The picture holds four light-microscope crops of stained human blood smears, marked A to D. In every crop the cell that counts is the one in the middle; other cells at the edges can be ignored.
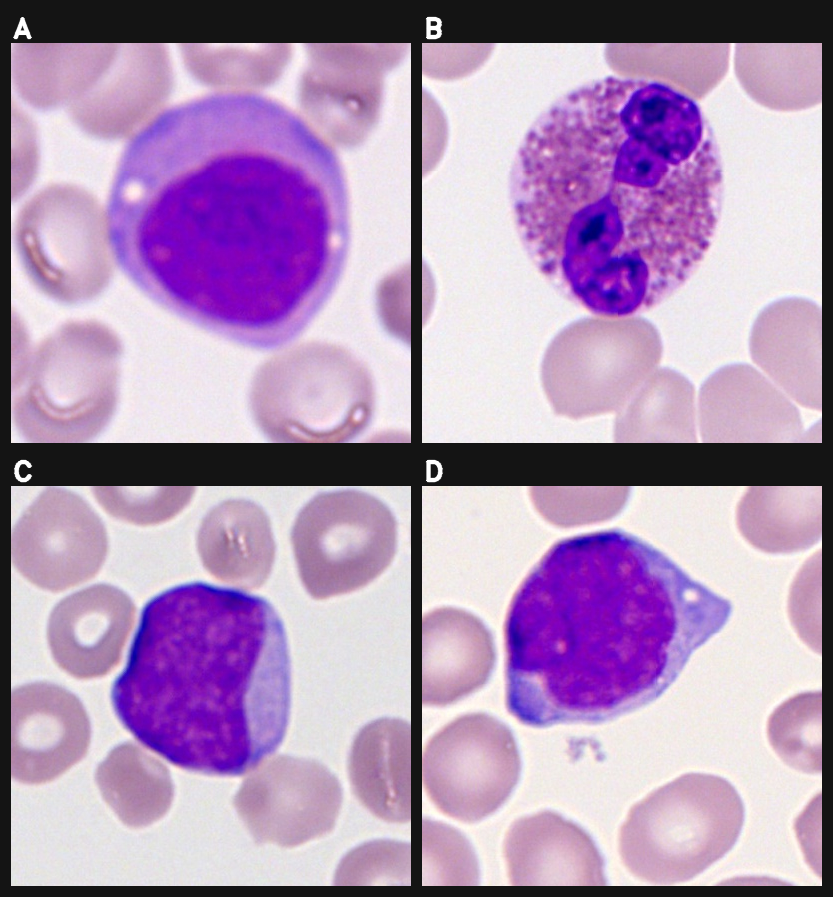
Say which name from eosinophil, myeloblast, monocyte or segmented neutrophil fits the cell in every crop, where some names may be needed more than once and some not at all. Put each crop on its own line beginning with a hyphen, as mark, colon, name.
- A: myeloblast
- B: eosinophil
- C: myeloblast
- D: myeloblast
